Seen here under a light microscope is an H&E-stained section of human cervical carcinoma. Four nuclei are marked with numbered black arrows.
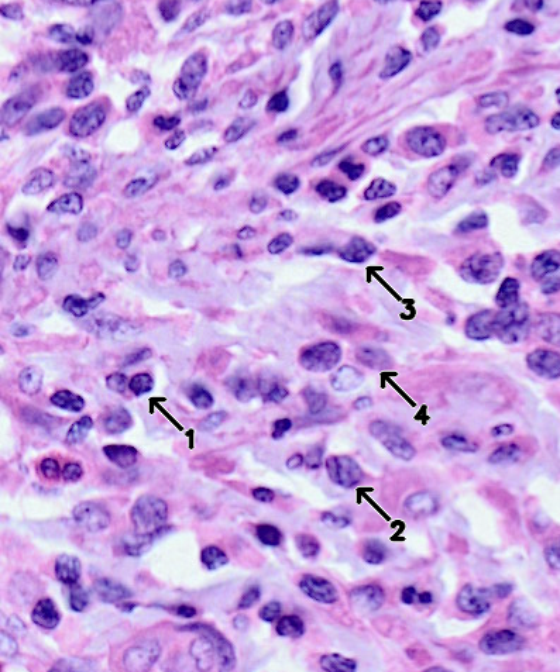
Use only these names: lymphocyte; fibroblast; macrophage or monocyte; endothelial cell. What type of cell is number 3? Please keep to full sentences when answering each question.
The cell indicated with the number 3 is classed as a lymphocyte.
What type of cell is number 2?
In this section, number 2 marks a lymphocyte.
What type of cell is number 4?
Heads up, the cell numbered 4 is a macrophage or monocyte.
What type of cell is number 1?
The expected answer is that cell 1 is a lymphocyte.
